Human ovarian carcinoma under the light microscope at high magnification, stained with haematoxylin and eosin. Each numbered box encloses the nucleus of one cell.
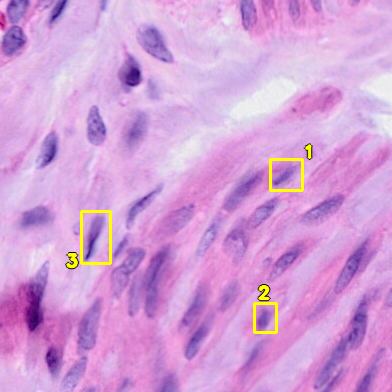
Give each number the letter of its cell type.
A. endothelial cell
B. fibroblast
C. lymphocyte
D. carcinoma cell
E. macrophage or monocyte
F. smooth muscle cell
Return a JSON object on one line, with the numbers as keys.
{"1": "F", "2": "F", "3": "B"}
